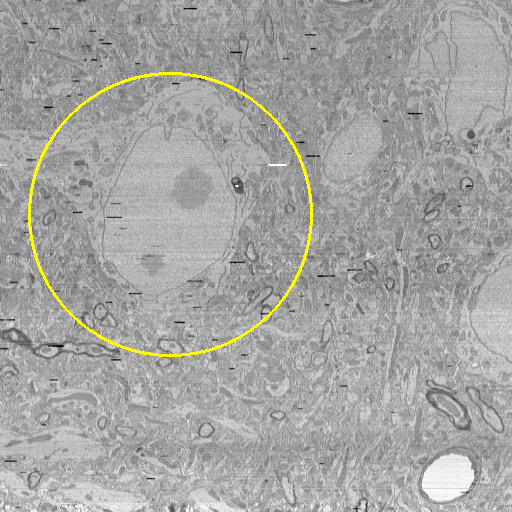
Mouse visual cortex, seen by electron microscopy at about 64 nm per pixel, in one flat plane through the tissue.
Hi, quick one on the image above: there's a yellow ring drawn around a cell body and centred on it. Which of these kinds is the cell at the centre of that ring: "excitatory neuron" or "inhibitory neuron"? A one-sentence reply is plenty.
The cell at the centre of the ring is an excitatory neuron.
